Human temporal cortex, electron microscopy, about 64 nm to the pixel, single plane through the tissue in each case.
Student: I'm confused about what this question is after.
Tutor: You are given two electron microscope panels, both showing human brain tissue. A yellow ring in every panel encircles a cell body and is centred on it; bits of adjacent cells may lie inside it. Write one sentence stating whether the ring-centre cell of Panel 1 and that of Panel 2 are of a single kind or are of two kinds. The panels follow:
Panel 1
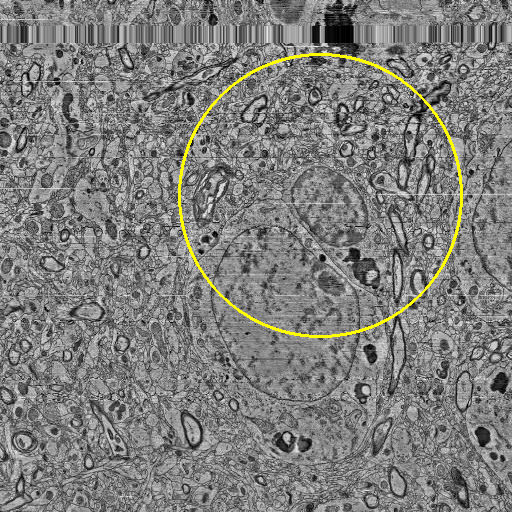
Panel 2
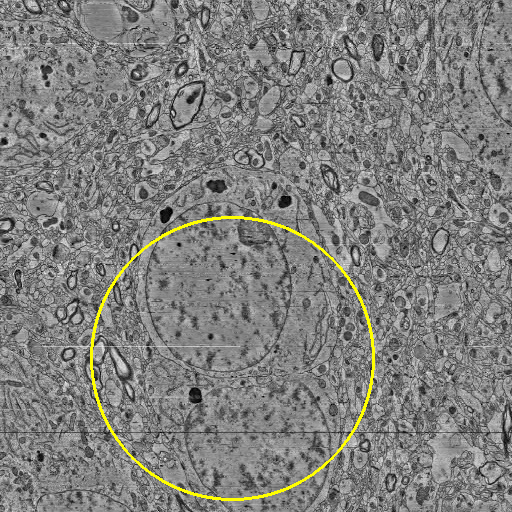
Here, the Panel 1 ring-centre cell and the Panel 2 ring-centre cell are of two kinds.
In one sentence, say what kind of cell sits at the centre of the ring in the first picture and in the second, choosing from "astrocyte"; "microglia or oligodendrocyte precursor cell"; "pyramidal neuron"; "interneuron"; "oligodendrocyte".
The first picture's ringed cell is an oligodendrocyte, while the second picture's is a pyramidal neuron.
